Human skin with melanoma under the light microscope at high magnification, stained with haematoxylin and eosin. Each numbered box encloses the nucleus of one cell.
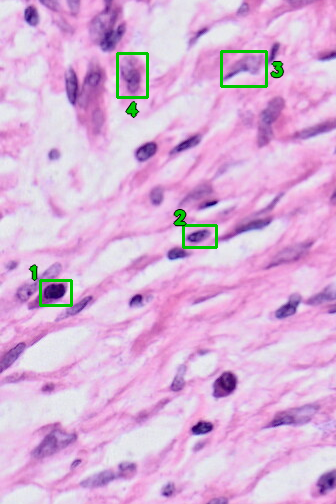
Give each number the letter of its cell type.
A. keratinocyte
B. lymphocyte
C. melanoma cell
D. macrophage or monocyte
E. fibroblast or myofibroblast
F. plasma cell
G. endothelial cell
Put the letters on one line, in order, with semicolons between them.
F; B; E; D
